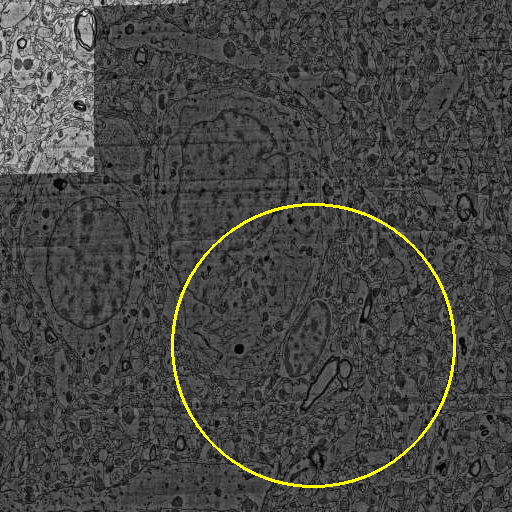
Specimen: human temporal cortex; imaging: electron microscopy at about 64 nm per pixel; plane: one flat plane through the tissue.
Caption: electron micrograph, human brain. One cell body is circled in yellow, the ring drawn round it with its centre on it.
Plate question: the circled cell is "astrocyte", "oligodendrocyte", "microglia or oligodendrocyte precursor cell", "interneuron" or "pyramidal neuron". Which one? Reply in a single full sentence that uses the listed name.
The yellow ring on the plate is centred on a microglial cell or oligodendrocyte precursor cell, going by the listed names.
